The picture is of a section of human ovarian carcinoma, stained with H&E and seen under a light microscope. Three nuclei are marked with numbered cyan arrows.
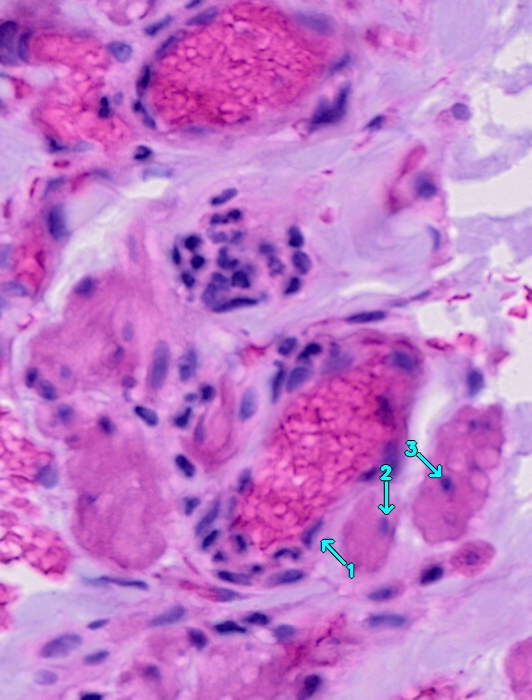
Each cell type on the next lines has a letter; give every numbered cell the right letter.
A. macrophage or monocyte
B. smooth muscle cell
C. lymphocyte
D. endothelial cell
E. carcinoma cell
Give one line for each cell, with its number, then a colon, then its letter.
1: D
2: B
3: B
